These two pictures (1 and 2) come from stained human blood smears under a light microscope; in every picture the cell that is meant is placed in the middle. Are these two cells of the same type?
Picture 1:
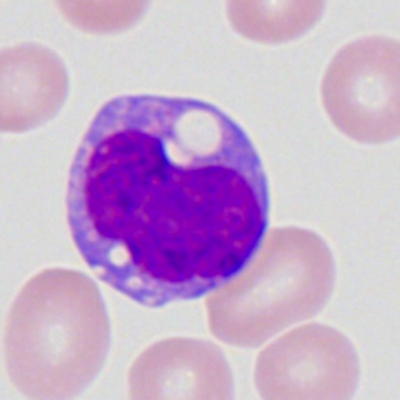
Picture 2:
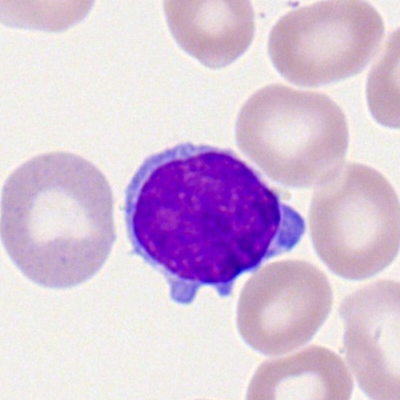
no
